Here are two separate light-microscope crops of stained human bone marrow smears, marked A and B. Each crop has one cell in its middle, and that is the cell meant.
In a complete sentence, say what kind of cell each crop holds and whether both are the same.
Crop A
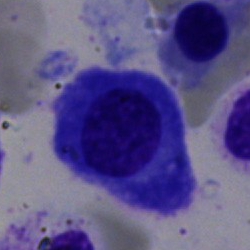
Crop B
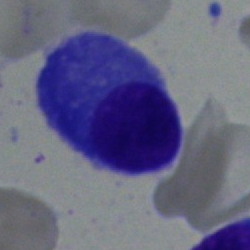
Yes, the cells at the centre of the two crops are both plasma cells.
